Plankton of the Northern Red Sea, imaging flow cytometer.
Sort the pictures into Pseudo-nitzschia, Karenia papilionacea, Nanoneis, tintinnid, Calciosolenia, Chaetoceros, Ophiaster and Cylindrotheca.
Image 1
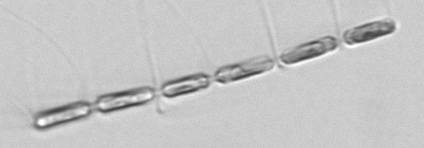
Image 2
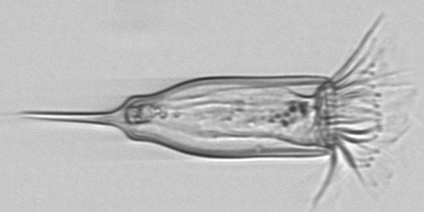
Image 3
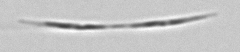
Chaetoceros: 1
Tintinnids: 2
Pseudo-nitzschia: 3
